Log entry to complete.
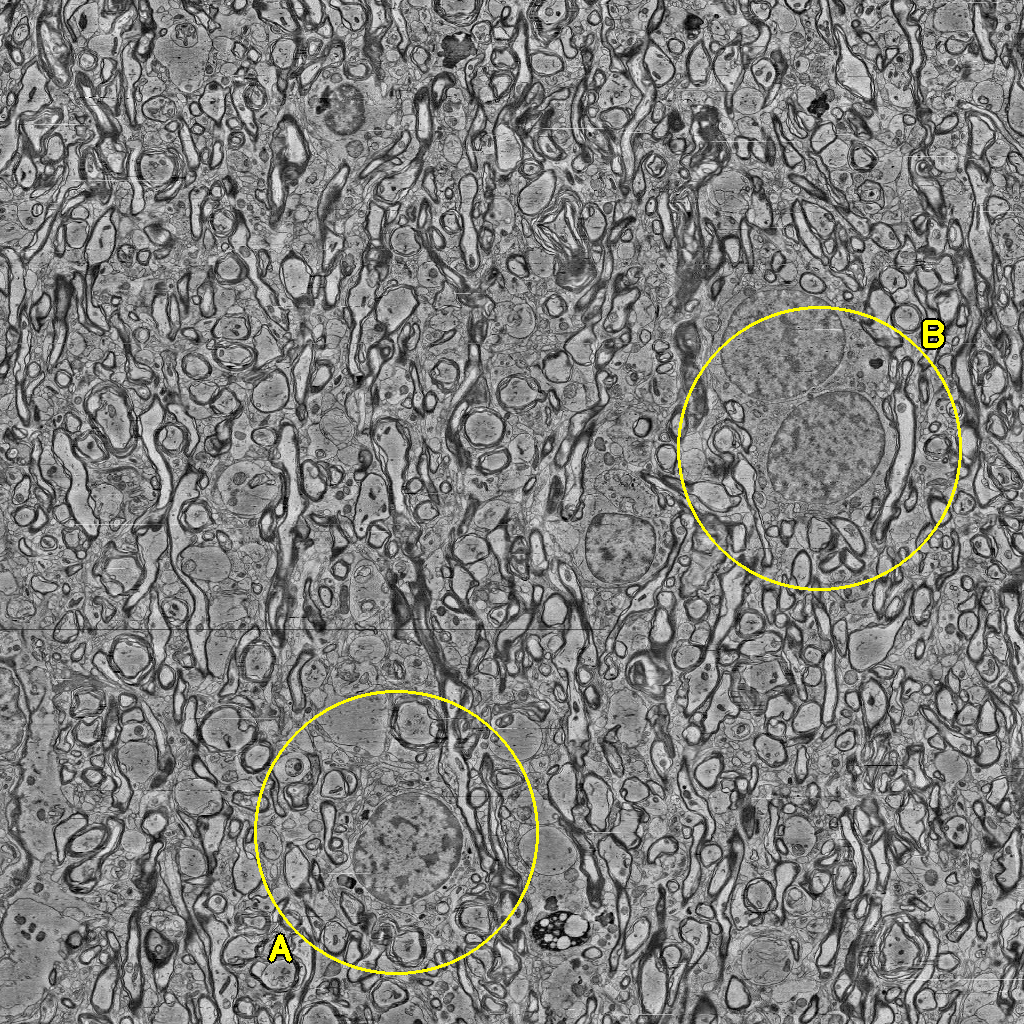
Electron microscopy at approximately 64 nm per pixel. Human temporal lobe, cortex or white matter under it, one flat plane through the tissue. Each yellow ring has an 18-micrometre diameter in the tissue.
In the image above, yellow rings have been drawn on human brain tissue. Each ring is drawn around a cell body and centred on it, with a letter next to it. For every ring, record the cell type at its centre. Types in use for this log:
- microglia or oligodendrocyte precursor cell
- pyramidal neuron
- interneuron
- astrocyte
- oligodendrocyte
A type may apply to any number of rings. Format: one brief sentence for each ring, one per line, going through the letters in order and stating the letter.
In ring A, the centred cell is a microglial cell or oligodendrocyte precursor cell.
In ring B, the centred cell is an oligodendrocyte.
